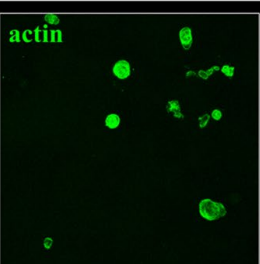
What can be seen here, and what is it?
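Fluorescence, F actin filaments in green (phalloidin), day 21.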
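The cells are rounded, with the green signal concentrated as rings at the cell periphery rather than as stress fibres. Some cells lie alone, while others are grouped in small irregular clusters of a few cells. No spread or spindle-shaped cells with long processes are seen. The background is dark with faint diffuse green haze.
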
